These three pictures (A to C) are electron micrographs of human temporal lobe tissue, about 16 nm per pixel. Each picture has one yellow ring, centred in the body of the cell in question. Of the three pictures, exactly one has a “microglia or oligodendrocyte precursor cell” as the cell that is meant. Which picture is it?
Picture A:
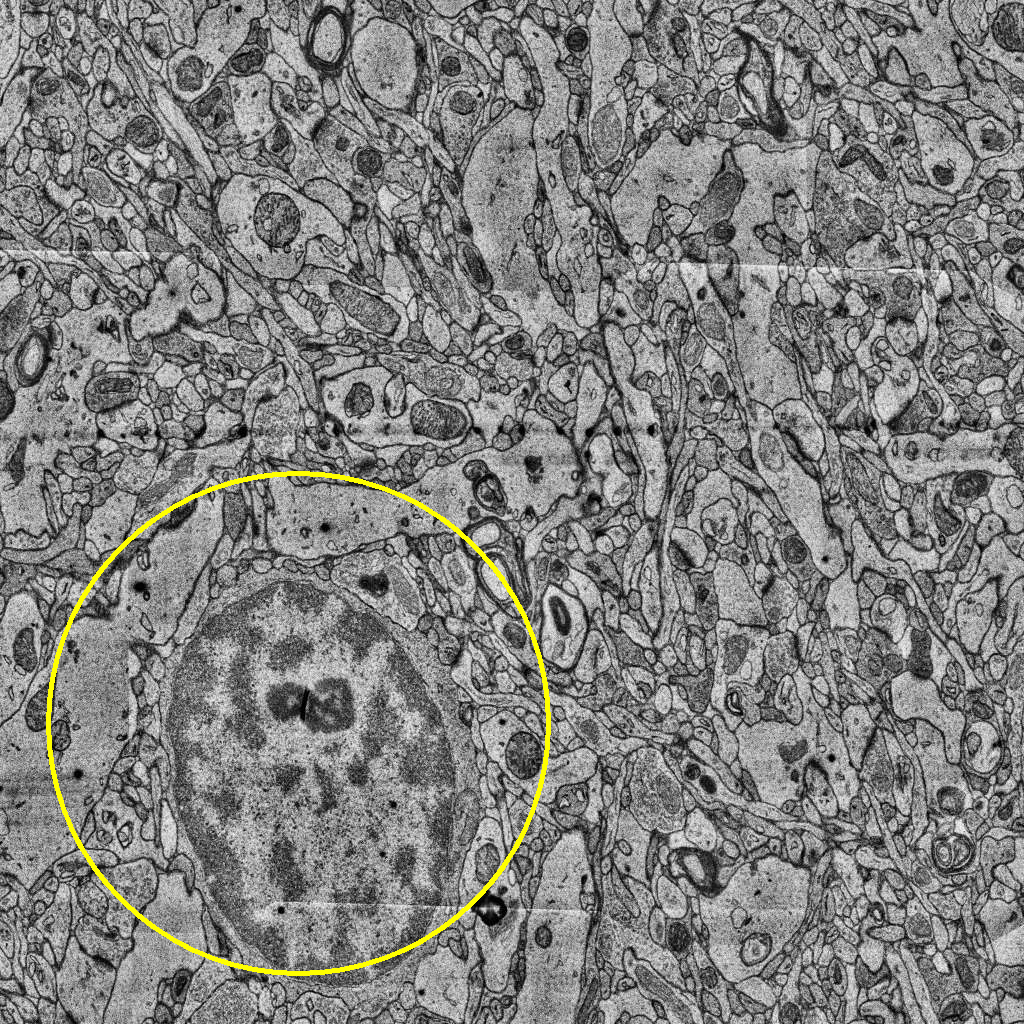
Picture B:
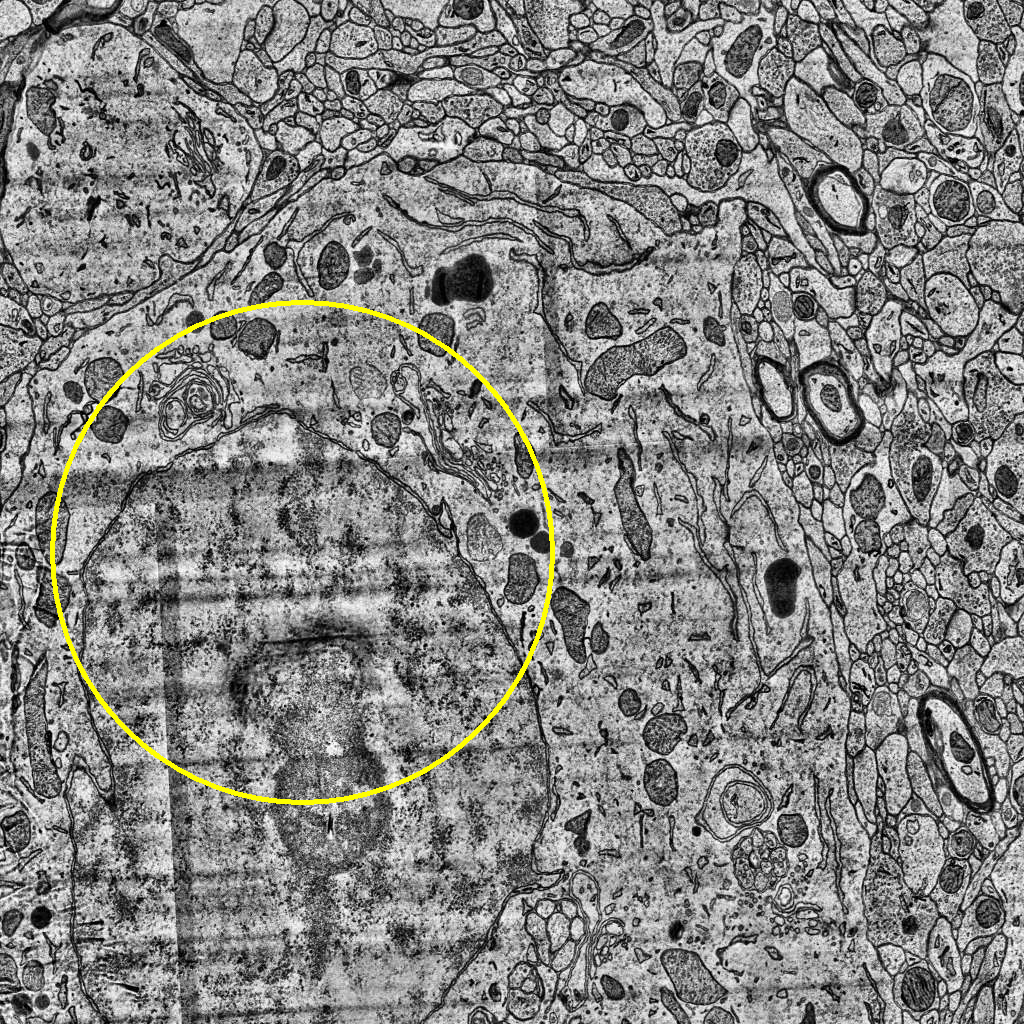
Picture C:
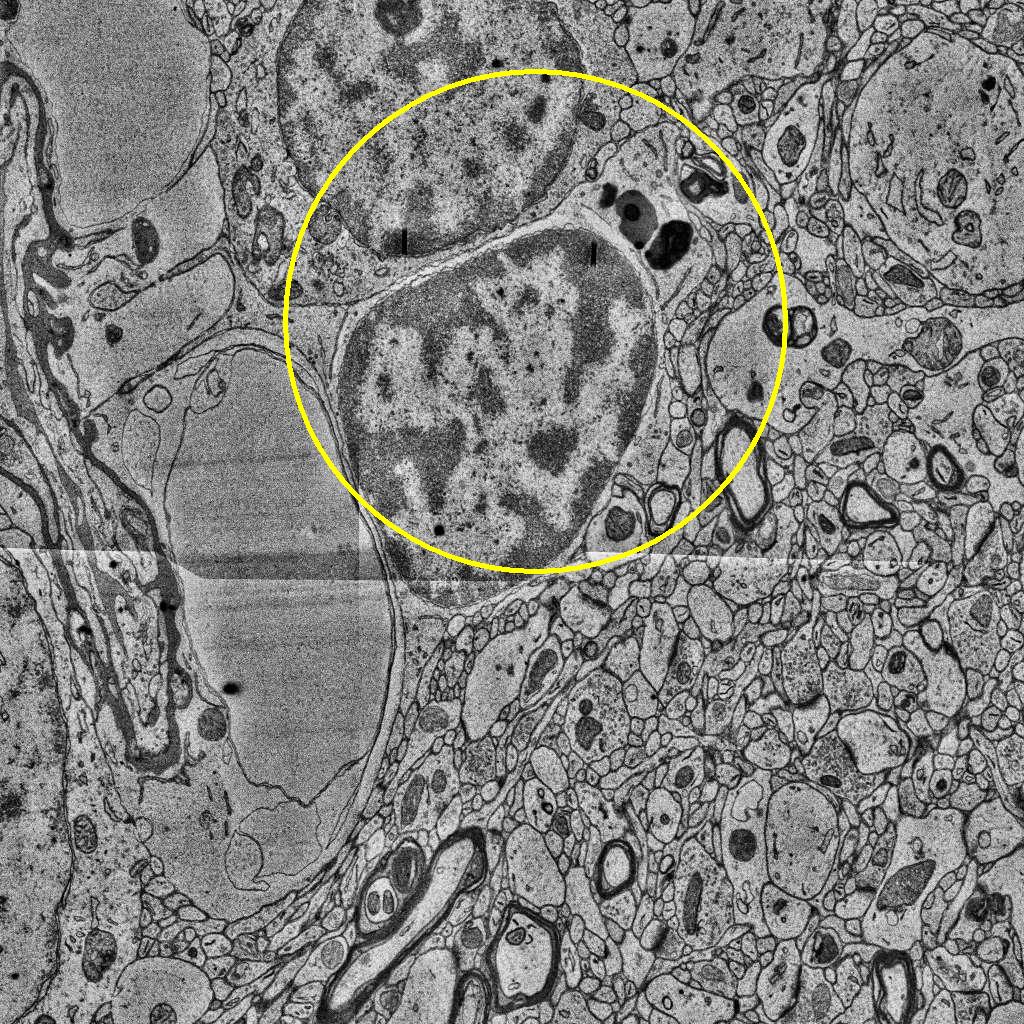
The cell in picture C is the “microglia or oligodendrocyte precursor cell”.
